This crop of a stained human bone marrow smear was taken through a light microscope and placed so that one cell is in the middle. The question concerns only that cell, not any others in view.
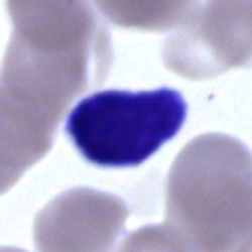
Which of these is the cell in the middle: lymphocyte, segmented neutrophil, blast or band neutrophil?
lymphocyte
